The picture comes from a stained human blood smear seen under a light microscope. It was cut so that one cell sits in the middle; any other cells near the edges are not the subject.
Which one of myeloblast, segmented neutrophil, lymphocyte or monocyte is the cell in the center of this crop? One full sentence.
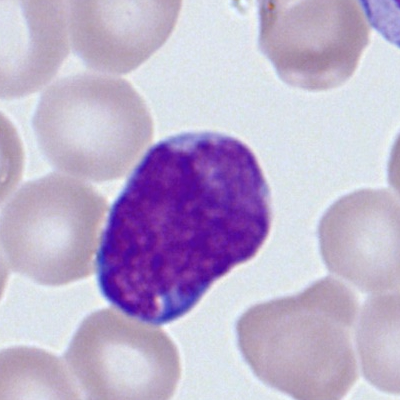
Whatever else lies nearby, the middle cell is a myeloblast.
